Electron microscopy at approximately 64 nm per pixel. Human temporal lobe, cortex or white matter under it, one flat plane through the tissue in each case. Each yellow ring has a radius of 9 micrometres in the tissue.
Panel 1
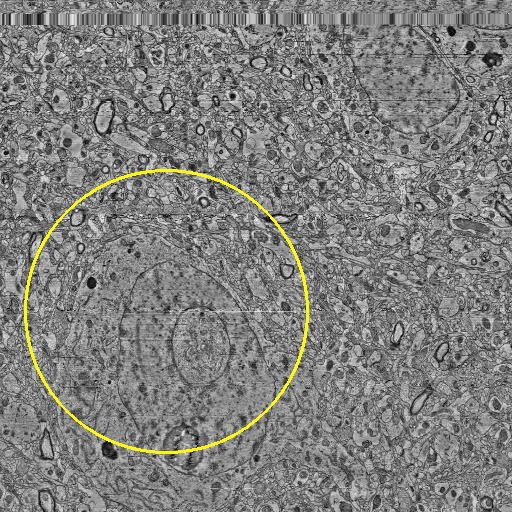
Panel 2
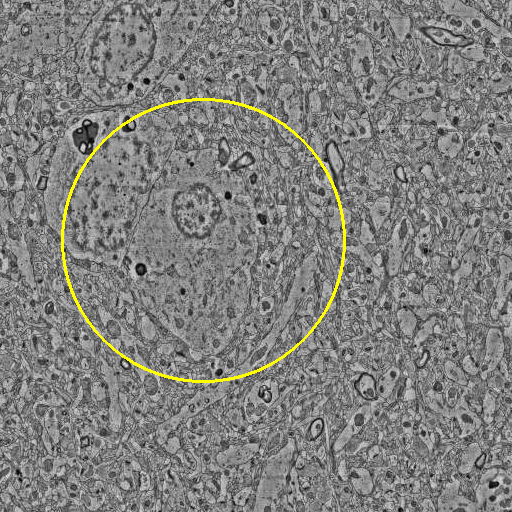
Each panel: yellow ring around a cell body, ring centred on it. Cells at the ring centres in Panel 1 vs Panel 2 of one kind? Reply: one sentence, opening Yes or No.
No, Panel 1 and Panel 2 have cells of two kinds at the ring centres.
